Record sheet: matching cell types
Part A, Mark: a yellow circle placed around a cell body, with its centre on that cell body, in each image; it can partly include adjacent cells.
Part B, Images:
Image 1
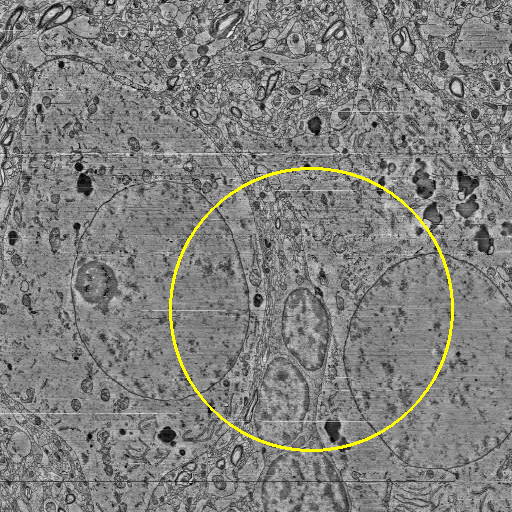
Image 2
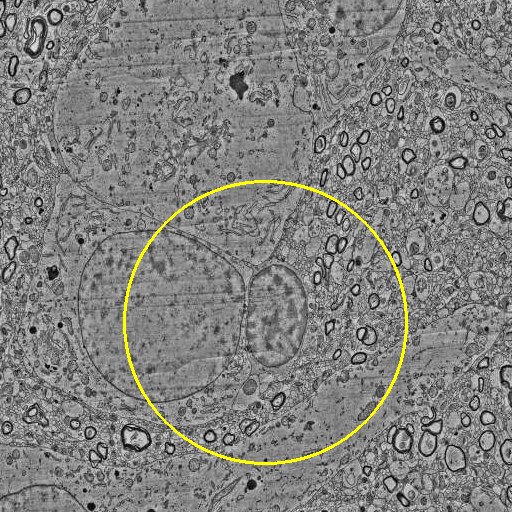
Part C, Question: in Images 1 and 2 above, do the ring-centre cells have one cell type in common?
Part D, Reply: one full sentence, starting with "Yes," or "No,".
Yes, the ring-centre cells of Image 1 and Image 2 are both of a single cell type.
